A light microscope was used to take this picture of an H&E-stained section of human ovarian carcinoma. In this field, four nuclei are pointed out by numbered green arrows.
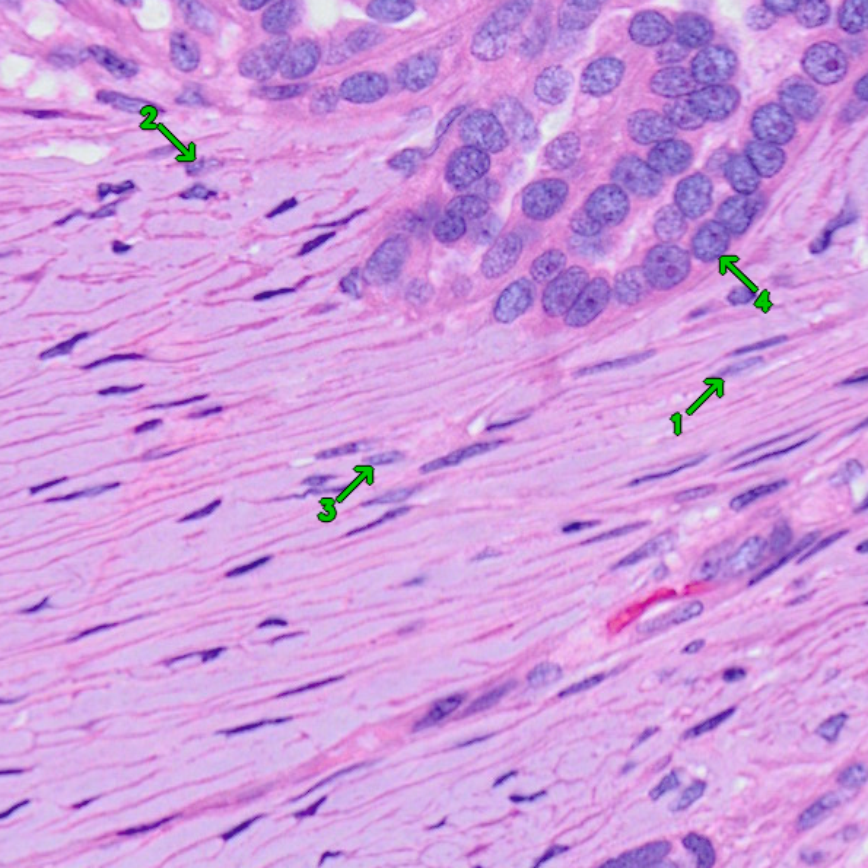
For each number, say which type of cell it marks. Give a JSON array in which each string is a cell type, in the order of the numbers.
["fibroblast", "fibroblast", "fibroblast", "carcinoma cell"]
